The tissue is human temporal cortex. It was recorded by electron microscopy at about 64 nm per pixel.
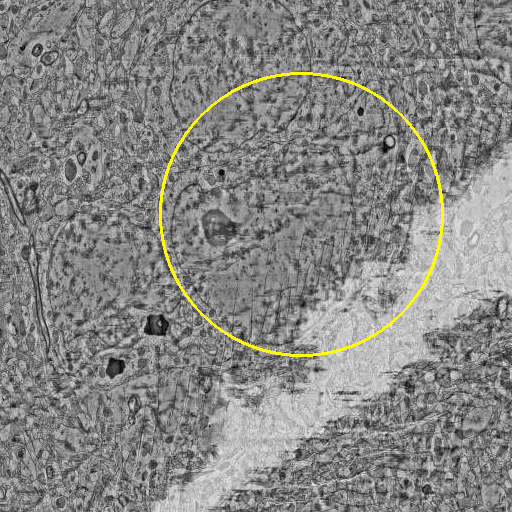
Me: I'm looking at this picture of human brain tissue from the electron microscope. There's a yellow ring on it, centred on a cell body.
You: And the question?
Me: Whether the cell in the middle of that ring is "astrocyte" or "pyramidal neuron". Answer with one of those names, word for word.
pyramidal neuron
